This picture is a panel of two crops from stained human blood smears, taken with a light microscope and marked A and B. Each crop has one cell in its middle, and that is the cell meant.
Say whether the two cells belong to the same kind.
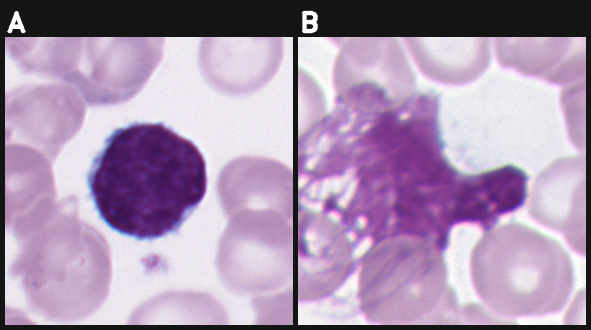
no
